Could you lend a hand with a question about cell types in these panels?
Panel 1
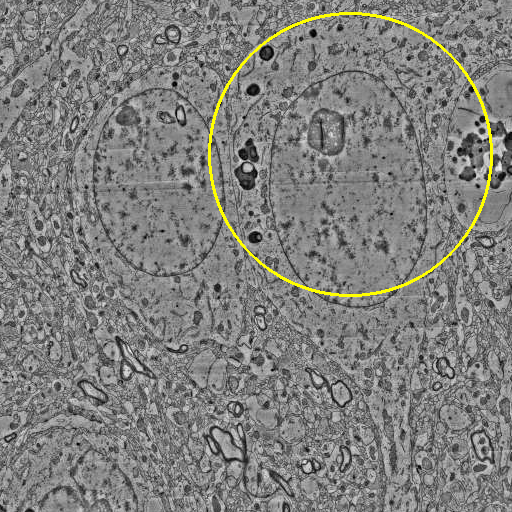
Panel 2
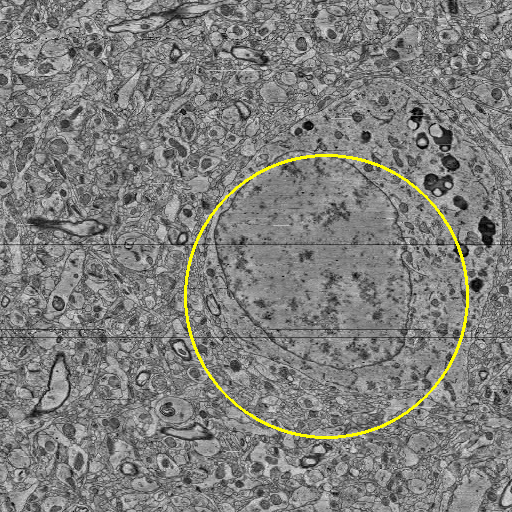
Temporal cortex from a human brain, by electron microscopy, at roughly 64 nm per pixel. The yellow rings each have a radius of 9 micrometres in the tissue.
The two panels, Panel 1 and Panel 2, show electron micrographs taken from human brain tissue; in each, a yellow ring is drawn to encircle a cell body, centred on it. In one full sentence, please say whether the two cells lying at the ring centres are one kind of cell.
Yes, the cells at the ring centres in the two panels are one kind of cell.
